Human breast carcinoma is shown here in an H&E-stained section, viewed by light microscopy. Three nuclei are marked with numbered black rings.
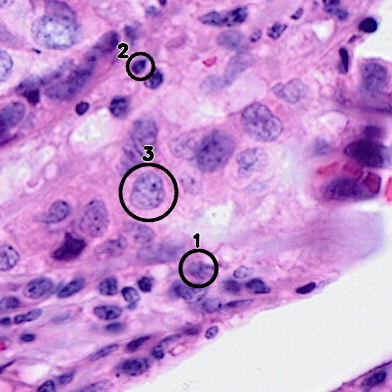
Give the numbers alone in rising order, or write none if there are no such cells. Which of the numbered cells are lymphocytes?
2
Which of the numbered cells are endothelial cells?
1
